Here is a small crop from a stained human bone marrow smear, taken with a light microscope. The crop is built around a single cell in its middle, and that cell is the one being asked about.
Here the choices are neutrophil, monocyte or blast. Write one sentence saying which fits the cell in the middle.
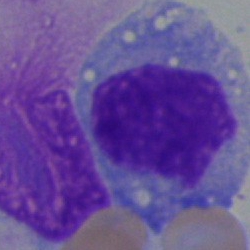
The cell nearest the centre of this crop is a blast.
